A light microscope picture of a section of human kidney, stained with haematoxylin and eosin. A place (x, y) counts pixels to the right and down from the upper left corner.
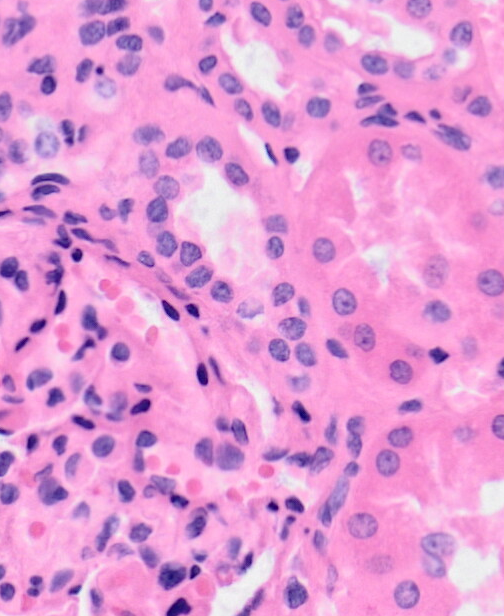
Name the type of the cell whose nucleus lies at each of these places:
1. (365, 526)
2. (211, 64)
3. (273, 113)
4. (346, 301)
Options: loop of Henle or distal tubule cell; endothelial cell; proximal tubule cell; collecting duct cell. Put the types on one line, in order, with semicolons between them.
proximal tubule cell; collecting duct cell; collecting duct cell; proximal tubule cell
